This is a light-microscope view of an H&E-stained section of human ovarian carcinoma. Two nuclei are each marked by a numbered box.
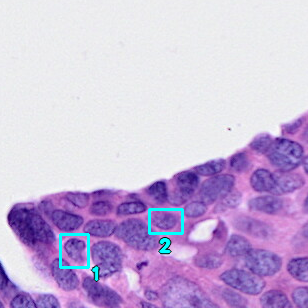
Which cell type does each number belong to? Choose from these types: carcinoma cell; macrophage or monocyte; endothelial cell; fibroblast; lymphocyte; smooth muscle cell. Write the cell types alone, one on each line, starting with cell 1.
macrophage or monocyte
carcinoma cell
